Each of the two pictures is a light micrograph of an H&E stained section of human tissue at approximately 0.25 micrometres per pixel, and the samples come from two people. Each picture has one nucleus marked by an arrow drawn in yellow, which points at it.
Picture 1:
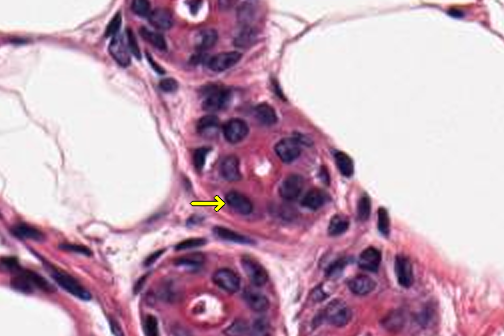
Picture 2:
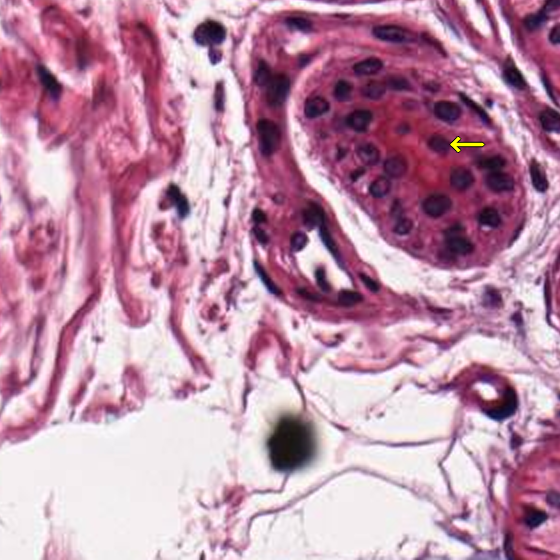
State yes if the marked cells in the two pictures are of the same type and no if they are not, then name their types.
Yes, both are sweat gland cells.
